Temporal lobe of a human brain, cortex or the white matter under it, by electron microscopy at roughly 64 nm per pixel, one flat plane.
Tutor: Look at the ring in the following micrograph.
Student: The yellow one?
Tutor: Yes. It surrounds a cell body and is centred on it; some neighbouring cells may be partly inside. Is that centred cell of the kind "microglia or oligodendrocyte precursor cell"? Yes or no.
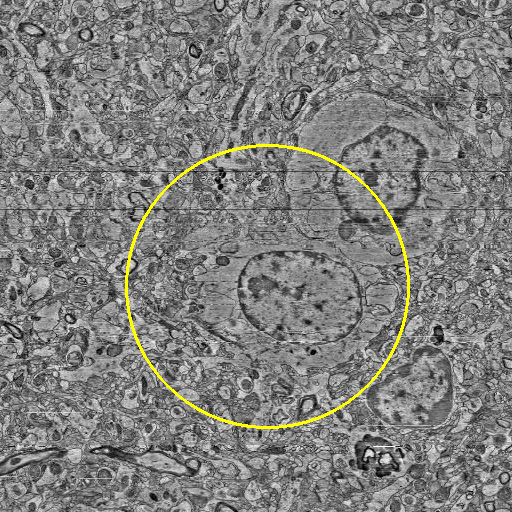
no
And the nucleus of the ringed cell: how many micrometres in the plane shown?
The ringed cell's nucleus measures approximately 8 by 6 micrometres in this plane.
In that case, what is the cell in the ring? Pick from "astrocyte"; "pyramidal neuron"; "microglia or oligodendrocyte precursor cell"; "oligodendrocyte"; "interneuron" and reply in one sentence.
The cell this ring marks is an astrocyte.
